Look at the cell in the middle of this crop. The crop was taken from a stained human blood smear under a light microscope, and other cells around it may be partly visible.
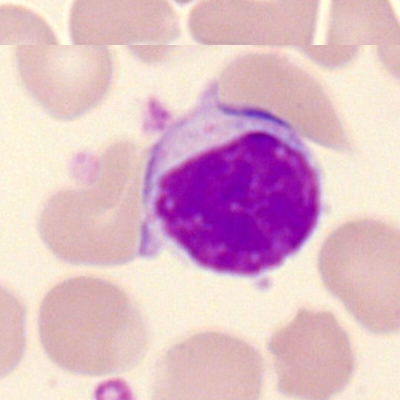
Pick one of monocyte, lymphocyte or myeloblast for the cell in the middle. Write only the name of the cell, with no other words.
lymphocyte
